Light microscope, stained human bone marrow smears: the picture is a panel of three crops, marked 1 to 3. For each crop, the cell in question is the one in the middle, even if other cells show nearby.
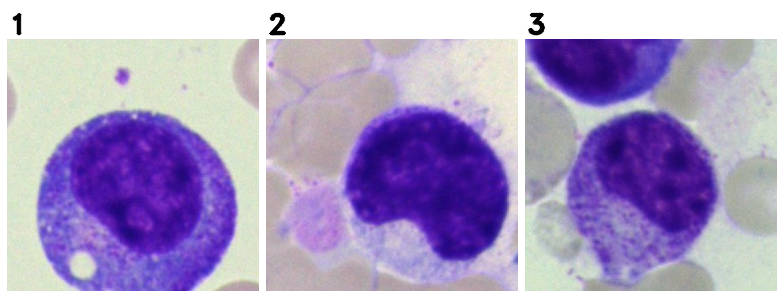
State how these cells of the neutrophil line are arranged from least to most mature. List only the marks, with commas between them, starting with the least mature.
1, 3, 2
